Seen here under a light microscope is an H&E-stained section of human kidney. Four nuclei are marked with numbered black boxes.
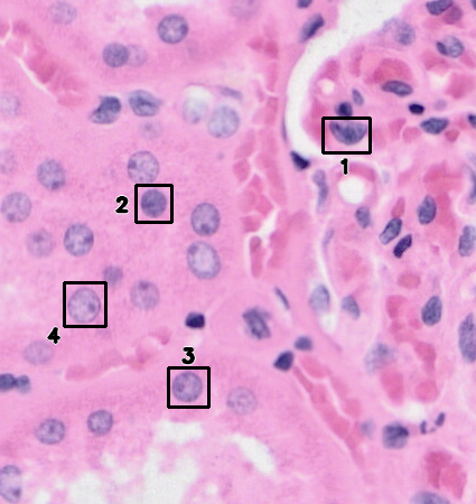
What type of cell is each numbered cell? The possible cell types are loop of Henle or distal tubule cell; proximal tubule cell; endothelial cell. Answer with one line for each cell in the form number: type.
1: endothelial cell
2: proximal tubule cell
3: proximal tubule cell
4: proximal tubule cell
